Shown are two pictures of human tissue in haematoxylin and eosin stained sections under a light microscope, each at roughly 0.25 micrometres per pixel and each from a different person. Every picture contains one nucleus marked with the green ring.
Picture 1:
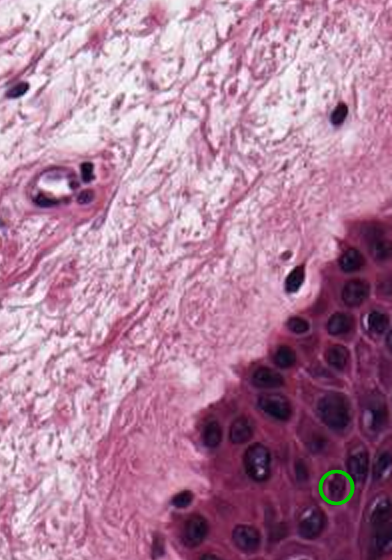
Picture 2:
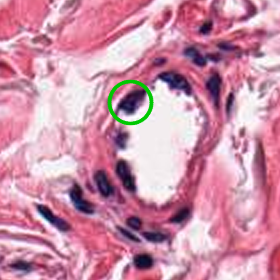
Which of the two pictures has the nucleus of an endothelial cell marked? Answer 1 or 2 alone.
2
